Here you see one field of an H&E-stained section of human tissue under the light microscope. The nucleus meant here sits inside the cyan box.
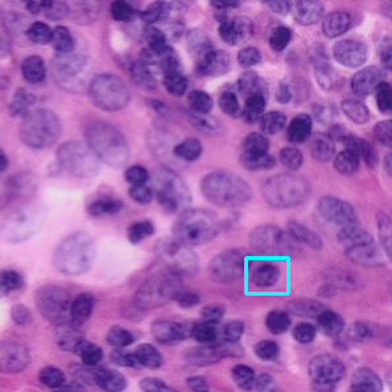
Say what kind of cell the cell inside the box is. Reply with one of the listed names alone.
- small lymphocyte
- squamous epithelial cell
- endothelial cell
endothelial cell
